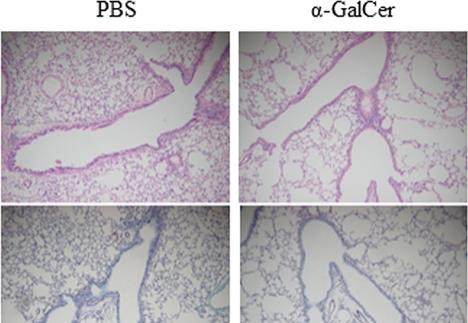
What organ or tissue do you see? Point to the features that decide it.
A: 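Large branching airway lumens lined by a thin epithelial layer. Surrounding spongy parenchyma of many small air spaces with thin walls.
Answer: lung tissue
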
